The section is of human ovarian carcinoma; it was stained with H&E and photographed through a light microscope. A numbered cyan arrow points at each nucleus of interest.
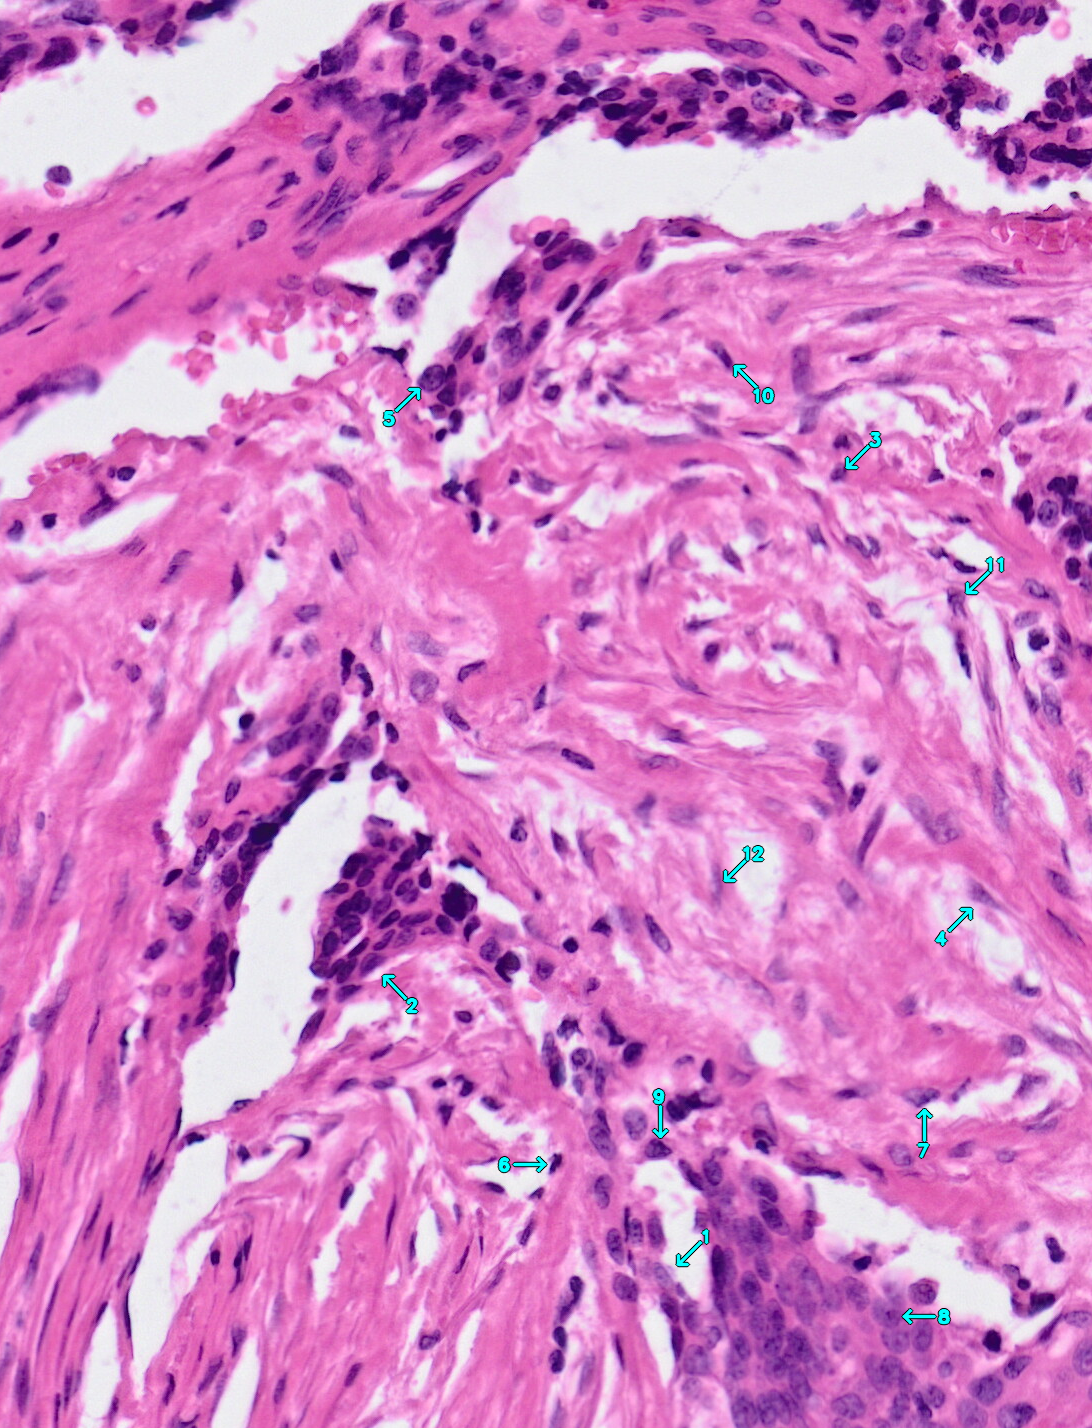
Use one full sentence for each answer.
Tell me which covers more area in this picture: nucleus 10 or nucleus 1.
Number 1 is larger; its area is about 1.5 times that of number 10.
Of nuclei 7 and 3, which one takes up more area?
At about 3 times the area of nucleus 3, nucleus 7 is the larger of the two.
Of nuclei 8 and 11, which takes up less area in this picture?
It is nucleus 11; nucleus 8 has about 1.5 times its area.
